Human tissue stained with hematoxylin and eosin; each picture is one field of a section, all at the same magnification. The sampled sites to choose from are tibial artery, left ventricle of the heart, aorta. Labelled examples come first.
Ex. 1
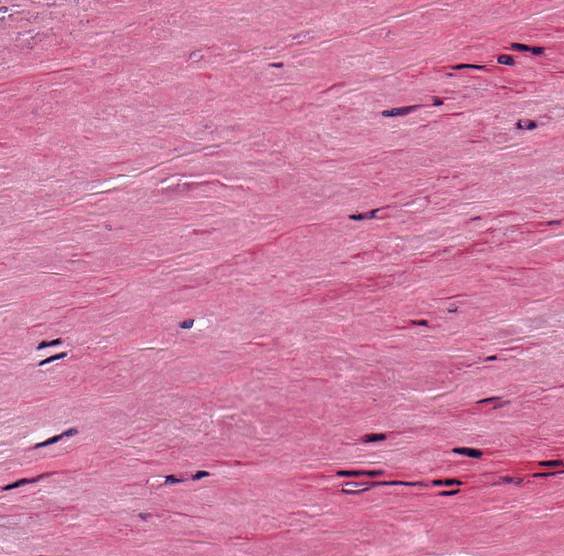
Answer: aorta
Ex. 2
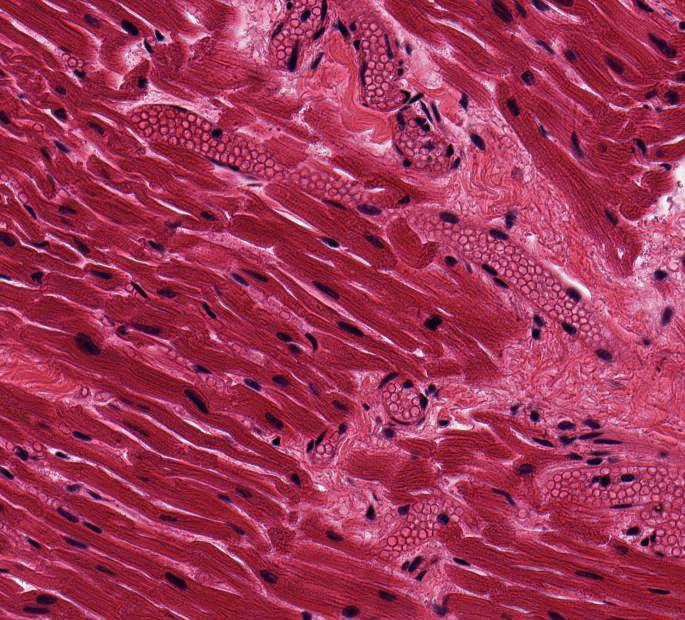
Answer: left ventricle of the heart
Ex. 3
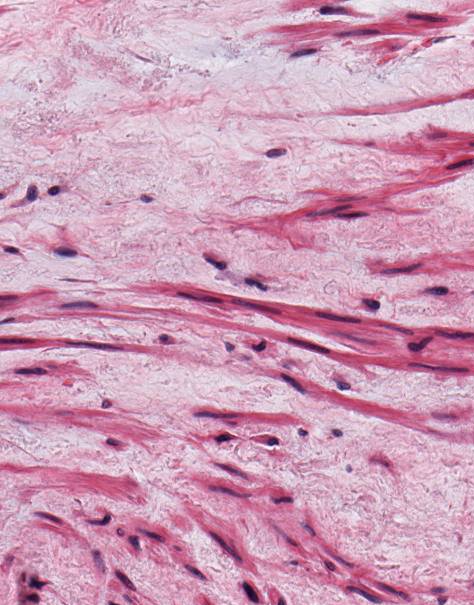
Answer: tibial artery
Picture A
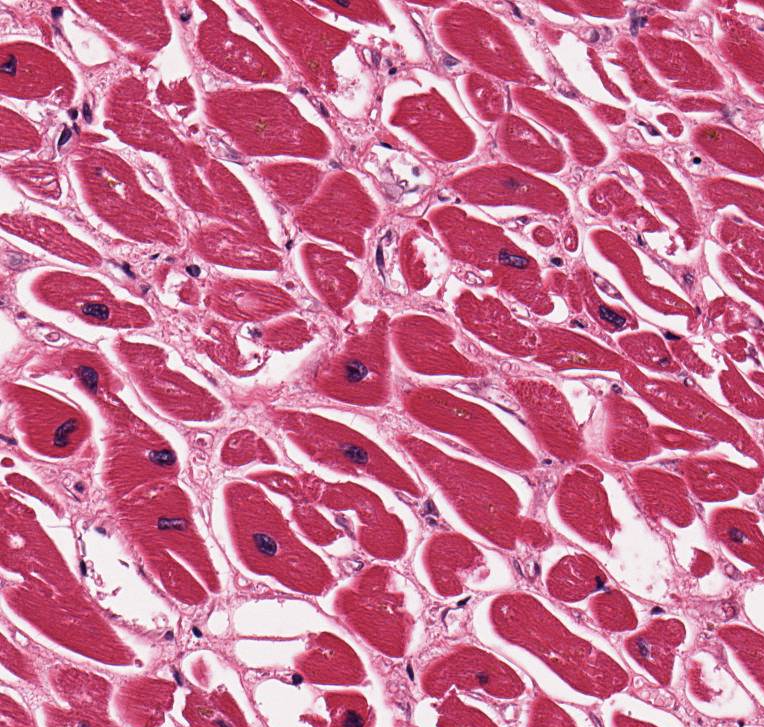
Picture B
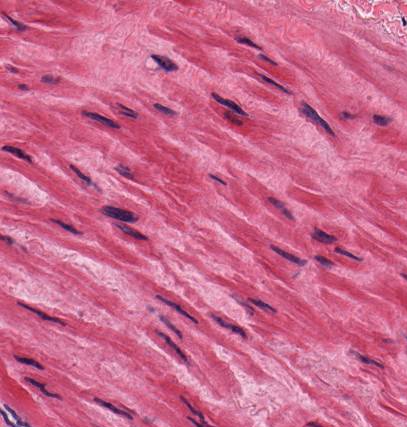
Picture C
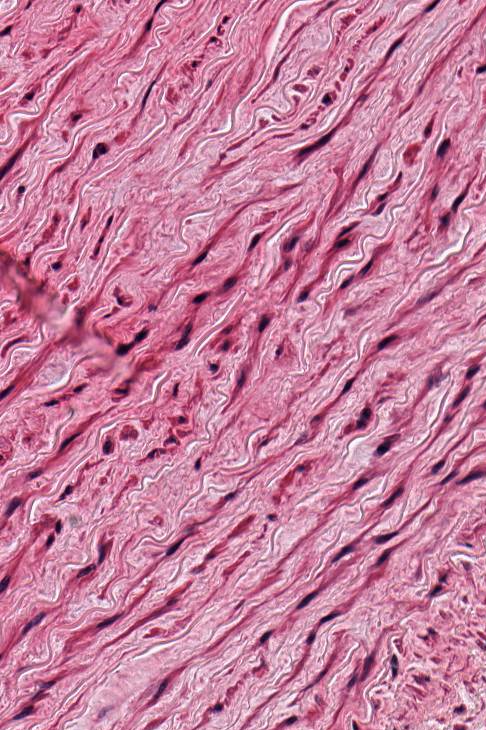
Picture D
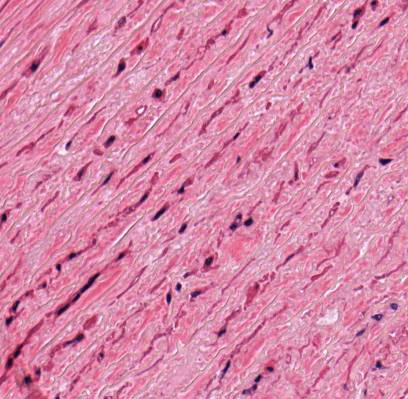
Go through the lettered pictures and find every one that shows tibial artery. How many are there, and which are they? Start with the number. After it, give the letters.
1: B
